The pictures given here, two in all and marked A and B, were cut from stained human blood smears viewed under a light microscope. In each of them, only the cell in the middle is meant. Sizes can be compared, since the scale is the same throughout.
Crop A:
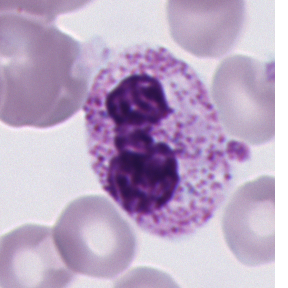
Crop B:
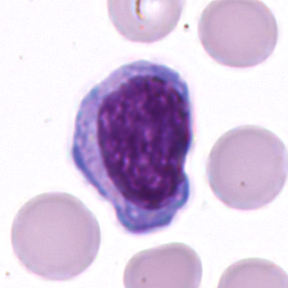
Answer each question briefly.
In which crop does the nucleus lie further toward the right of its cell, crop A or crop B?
B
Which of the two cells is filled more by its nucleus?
B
